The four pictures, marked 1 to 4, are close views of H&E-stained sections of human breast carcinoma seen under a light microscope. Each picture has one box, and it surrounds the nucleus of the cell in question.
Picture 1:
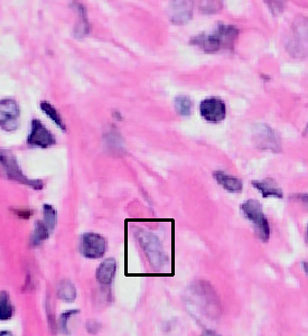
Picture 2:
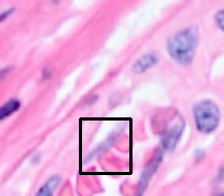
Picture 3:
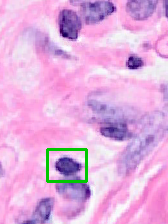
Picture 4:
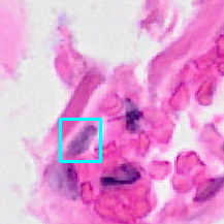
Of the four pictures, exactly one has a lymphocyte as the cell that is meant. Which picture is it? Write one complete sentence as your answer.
The lymphocyte is the one in picture 3.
